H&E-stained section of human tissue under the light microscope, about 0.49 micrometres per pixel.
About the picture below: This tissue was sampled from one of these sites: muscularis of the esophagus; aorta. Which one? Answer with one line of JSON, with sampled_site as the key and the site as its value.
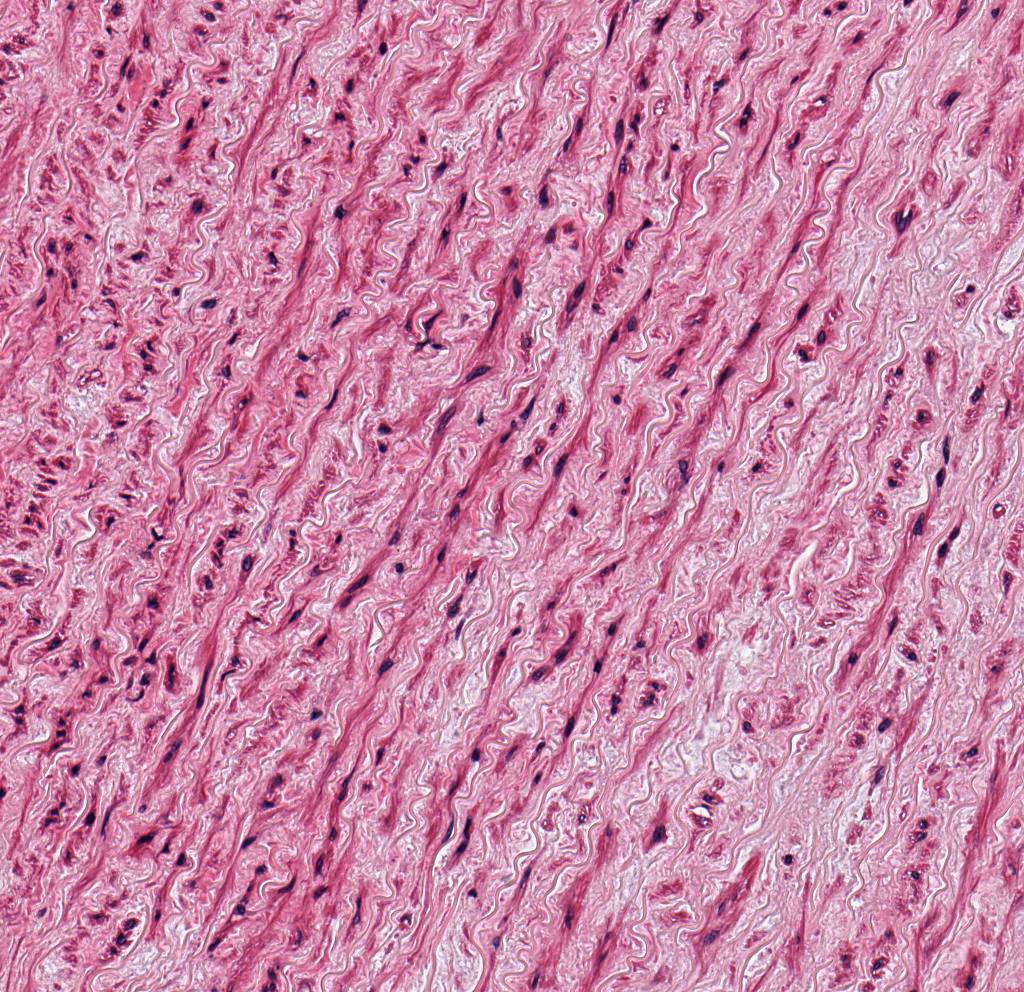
{"sampled_site": "aorta"}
